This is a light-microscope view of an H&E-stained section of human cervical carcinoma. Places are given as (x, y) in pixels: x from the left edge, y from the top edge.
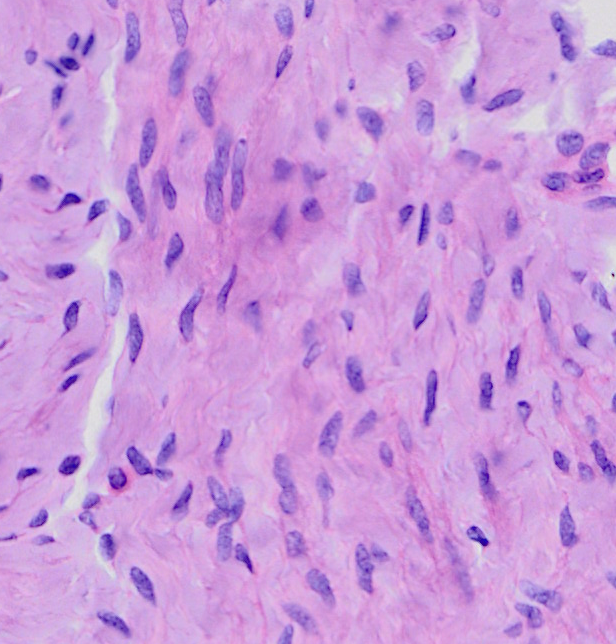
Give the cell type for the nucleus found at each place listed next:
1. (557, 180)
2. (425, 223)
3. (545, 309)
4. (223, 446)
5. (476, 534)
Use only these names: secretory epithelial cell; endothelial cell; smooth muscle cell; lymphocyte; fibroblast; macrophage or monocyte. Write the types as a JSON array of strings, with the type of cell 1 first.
["endothelial cell", "fibroblast", "smooth muscle cell", "fibroblast", "lymphocyte"]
